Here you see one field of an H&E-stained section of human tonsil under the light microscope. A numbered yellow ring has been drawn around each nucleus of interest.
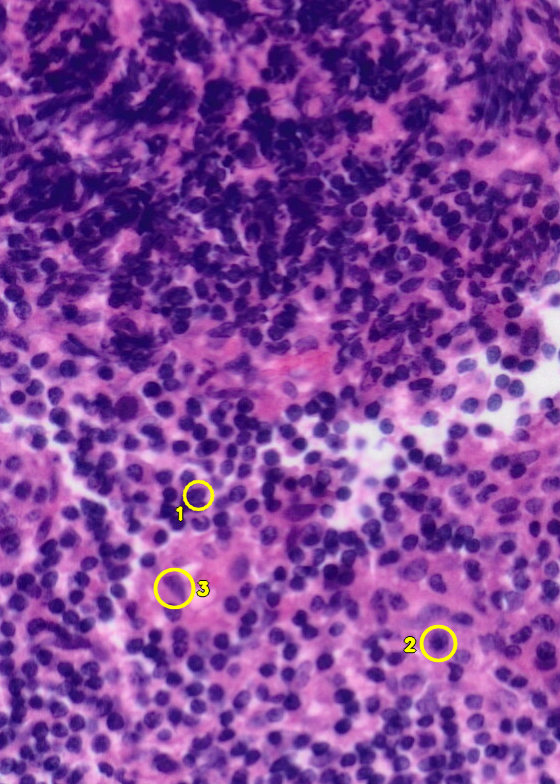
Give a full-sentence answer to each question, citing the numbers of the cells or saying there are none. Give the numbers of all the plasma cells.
Nothing but cell 2 is a plasma cell among the numbered ones.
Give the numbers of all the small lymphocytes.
Only cell 1 qualifies as a small lymphocyte among the numbered cells.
